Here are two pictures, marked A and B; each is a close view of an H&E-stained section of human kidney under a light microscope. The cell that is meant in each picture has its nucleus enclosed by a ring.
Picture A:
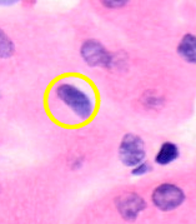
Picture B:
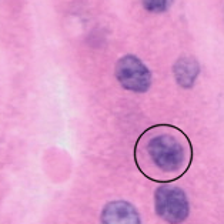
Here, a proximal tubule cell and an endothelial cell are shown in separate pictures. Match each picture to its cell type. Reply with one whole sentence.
It is picture A that shows an endothelial cell, and picture B that shows a proximal tubule cell.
